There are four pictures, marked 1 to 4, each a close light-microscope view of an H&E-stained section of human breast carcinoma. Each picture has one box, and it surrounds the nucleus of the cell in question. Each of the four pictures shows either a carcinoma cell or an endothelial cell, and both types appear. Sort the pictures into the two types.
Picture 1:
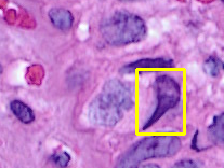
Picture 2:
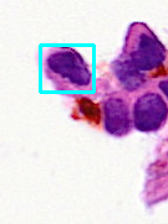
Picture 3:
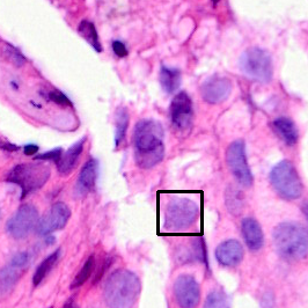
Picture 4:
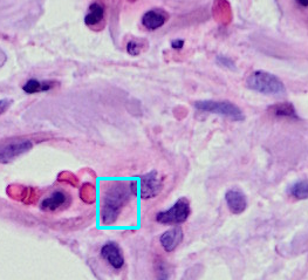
1: carcinoma cell
2: carcinoma cell
3: carcinoma cell
4: endothelial cell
